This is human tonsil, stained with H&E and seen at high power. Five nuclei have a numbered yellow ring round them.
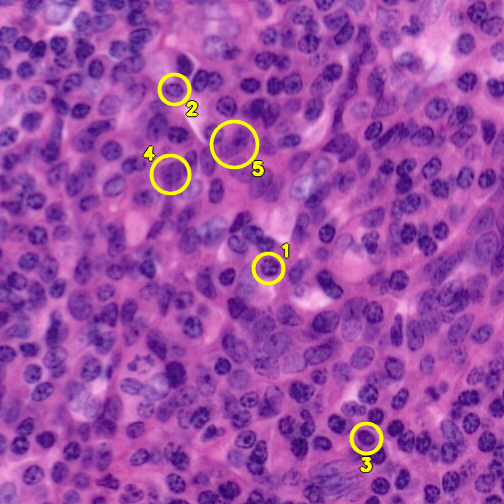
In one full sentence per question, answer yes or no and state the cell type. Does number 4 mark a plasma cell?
No, the marker 4 sits on a squamous epithelial cell, not on a plasma cell.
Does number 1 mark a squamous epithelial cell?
No, cell 1 is identified not as a squamous epithelial cell but as a plasma cell.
